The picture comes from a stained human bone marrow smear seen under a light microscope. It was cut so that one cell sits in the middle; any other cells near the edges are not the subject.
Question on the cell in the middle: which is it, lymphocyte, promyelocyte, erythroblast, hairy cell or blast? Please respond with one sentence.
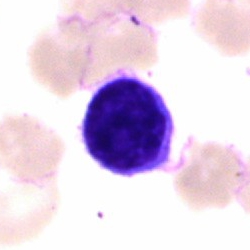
The cell occupying the middle of the crop is a lymphocyte.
